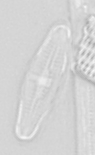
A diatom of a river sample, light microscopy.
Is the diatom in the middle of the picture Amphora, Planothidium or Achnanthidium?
It is Achnanthidium.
